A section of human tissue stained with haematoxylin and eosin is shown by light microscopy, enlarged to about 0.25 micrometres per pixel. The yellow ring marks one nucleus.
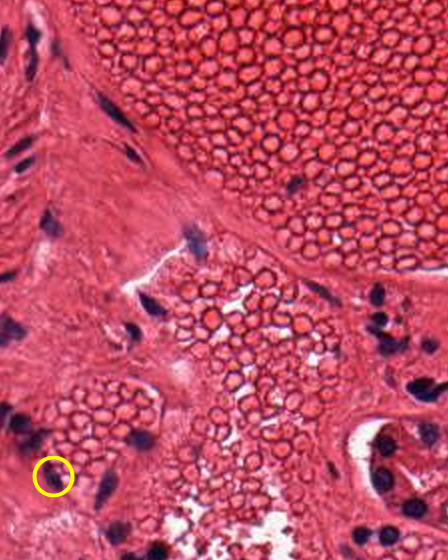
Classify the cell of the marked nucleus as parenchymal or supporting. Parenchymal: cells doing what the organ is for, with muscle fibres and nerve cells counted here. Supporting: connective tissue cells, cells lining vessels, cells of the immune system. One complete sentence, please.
Housed within a supporting cell is the marked nucleus.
